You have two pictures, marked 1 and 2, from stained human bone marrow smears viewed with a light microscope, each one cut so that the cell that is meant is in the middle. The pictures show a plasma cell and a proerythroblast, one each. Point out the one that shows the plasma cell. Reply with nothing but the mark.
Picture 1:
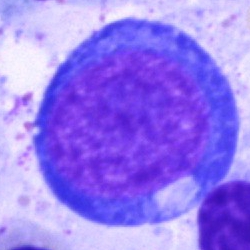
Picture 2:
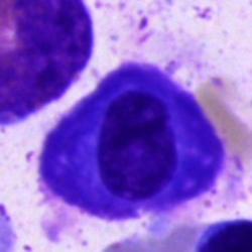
2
